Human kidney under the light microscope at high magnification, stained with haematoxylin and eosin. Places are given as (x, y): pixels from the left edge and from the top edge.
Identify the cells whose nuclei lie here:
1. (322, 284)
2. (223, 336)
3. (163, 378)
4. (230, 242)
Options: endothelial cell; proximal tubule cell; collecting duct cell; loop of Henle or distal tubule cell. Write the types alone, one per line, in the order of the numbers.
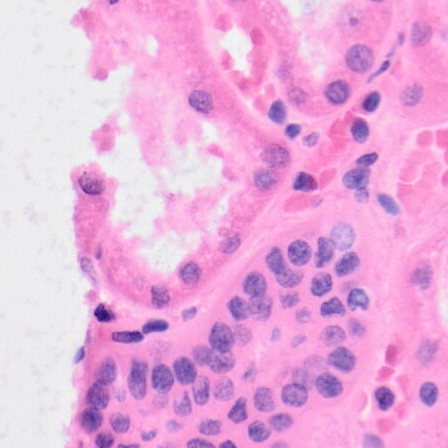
collecting duct cell
collecting duct cell
collecting duct cell
proximal tubule cell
